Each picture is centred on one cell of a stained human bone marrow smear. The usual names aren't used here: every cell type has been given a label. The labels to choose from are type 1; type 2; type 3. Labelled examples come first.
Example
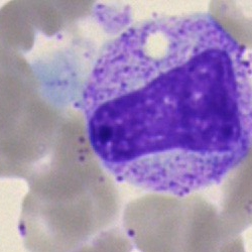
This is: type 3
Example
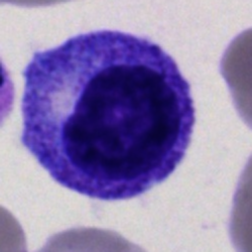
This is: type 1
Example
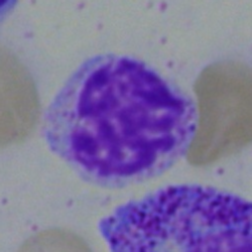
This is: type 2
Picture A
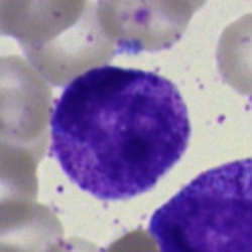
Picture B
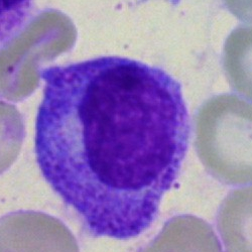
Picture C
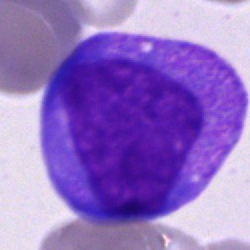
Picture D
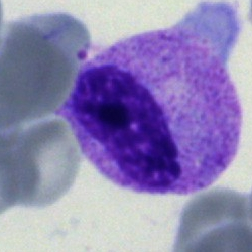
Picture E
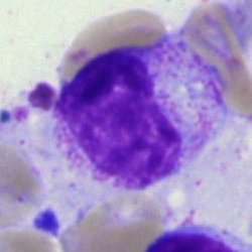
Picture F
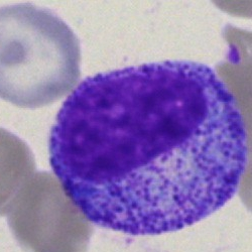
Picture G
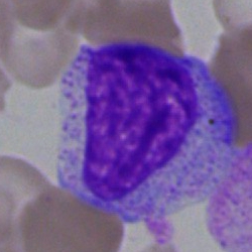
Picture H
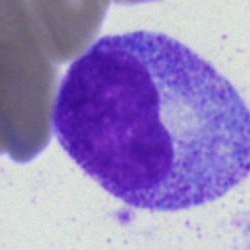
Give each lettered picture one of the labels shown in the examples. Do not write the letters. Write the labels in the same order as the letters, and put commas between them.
type 3, type 2, type 1, type 3, type 3, type 2, type 2, type 2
